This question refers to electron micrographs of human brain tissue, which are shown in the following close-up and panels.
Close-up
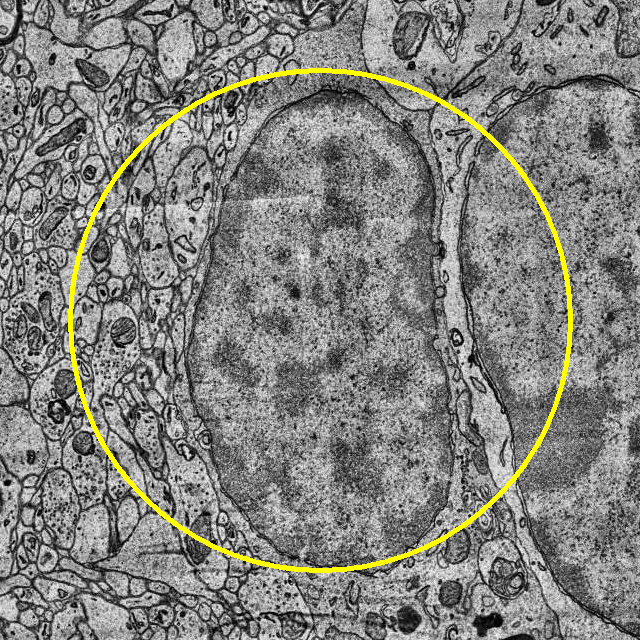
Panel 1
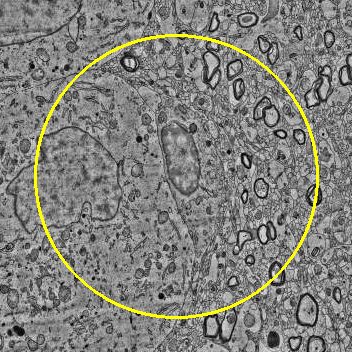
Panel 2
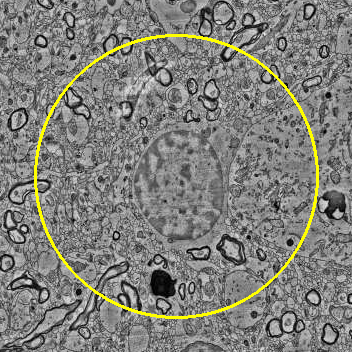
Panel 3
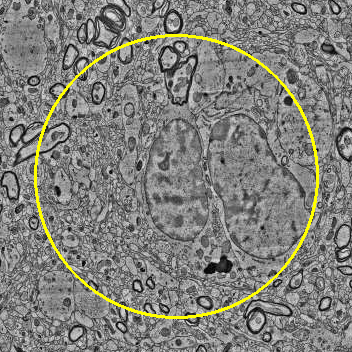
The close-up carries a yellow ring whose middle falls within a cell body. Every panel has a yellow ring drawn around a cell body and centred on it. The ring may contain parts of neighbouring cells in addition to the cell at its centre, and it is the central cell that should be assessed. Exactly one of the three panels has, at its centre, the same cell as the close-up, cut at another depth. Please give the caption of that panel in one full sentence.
The close-up singles out the cell ringed in Panel 3.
